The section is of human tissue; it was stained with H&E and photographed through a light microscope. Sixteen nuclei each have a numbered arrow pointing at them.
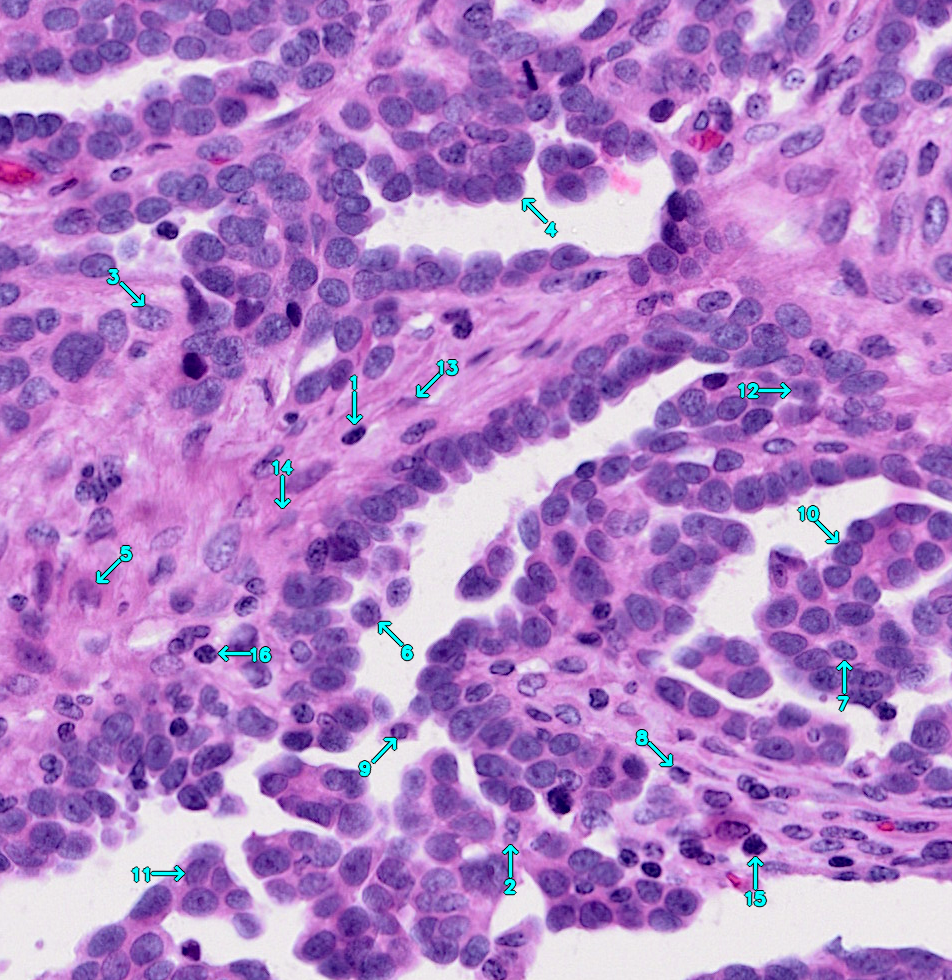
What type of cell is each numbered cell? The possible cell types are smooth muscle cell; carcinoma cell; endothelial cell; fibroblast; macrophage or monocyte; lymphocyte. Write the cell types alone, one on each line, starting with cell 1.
lymphocyte
macrophage or monocyte
fibroblast
carcinoma cell
fibroblast
macrophage or monocyte
macrophage or monocyte
lymphocyte
macrophage or monocyte
carcinoma cell
carcinoma cell
carcinoma cell
fibroblast
fibroblast
lymphocyte
lymphocyte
